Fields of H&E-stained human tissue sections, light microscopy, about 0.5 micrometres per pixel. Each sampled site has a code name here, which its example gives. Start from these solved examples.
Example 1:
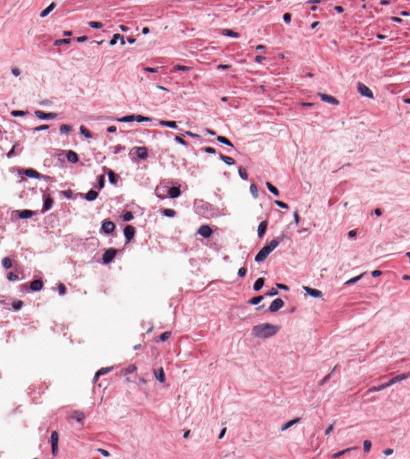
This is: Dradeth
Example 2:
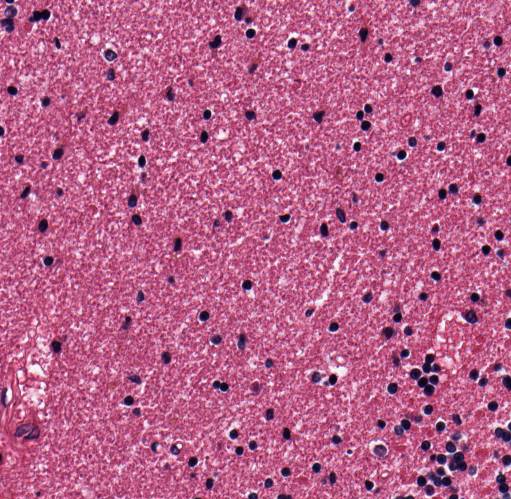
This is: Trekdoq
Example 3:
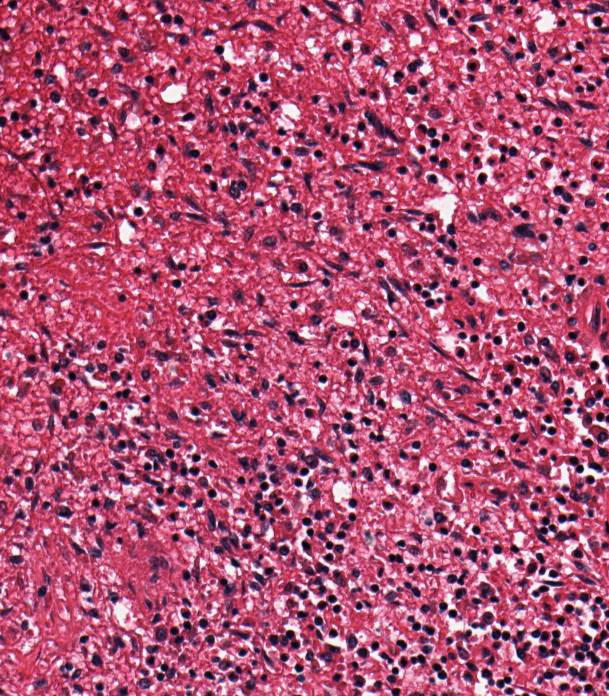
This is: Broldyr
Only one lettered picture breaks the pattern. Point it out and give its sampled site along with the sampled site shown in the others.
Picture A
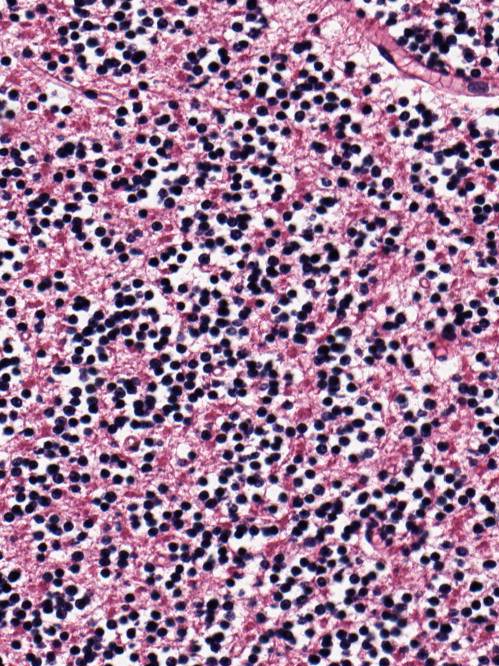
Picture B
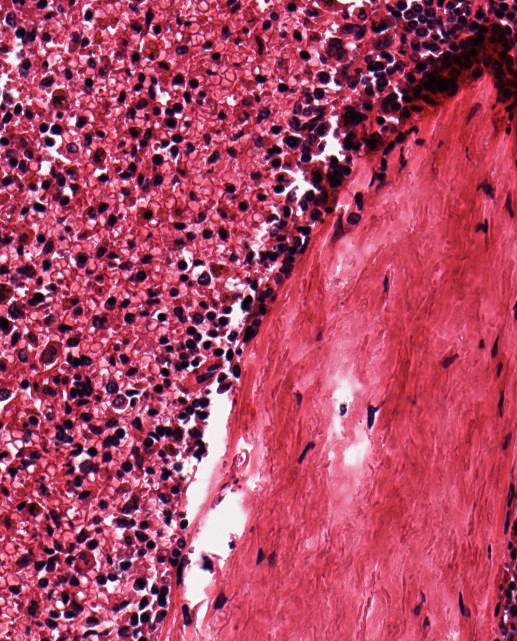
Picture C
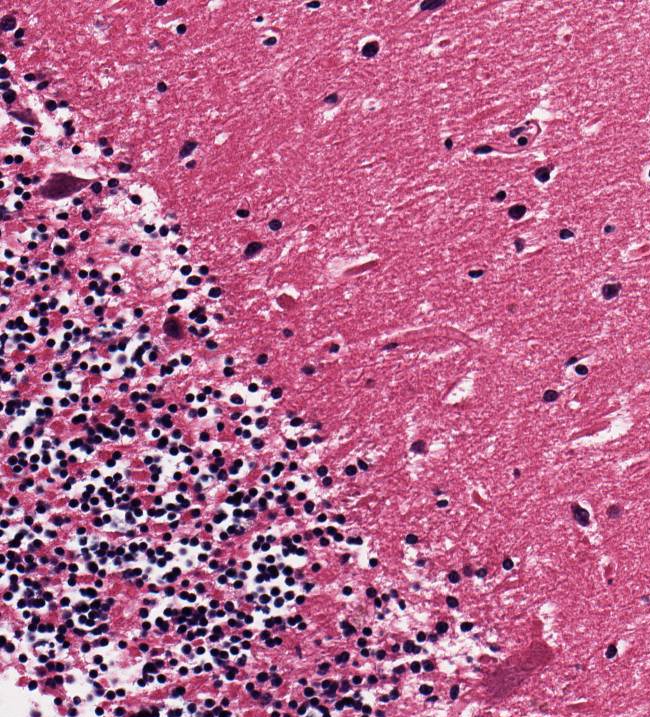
Odd one out: B (Broldyr). The rest: Trekdoq.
